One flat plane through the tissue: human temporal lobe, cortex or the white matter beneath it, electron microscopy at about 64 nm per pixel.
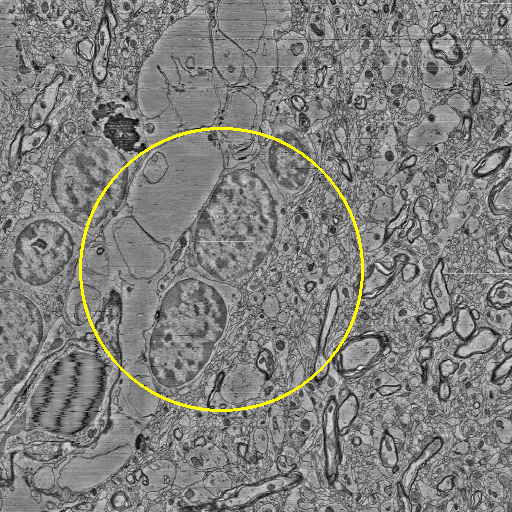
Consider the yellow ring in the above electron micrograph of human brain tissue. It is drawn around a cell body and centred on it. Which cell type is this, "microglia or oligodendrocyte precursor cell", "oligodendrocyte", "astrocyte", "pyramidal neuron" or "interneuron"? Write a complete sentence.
The cell in question is an oligodendrocyte.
